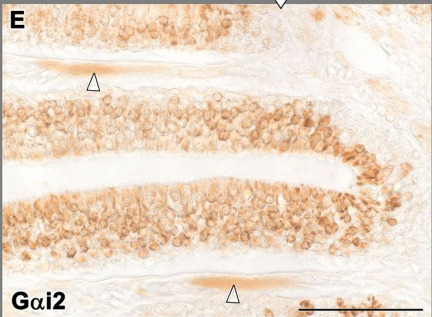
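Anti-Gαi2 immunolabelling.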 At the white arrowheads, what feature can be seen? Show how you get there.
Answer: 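Elongated brown fibrous bands in the connective tissue between lamellae. They run parallel to the epithelium and contain no round cell bodies.
Olfactory nerves.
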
